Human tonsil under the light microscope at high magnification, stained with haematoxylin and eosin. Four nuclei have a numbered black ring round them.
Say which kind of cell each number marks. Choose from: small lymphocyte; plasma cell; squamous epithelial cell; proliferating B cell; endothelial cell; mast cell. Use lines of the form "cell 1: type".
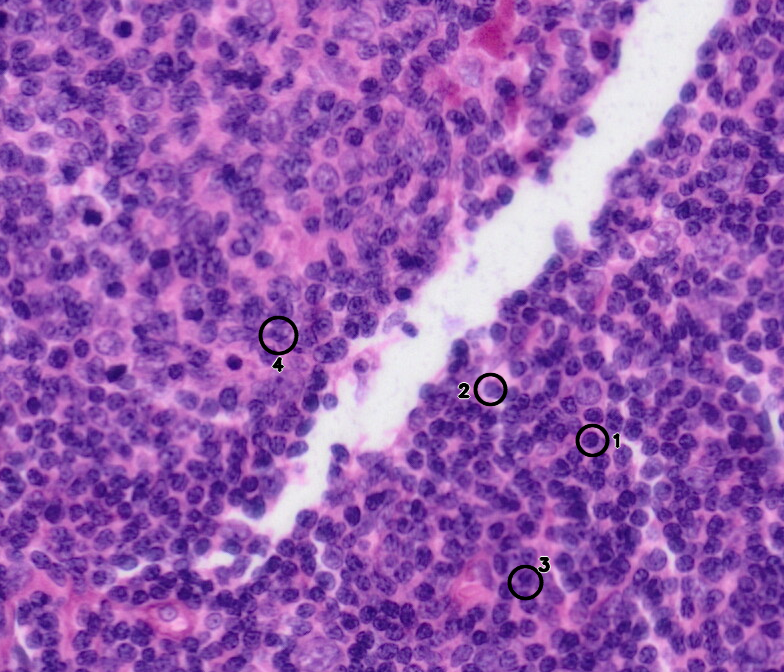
cell 1: small lymphocyte
cell 2: small lymphocyte
cell 3: small lymphocyte
cell 4: proliferating B cell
